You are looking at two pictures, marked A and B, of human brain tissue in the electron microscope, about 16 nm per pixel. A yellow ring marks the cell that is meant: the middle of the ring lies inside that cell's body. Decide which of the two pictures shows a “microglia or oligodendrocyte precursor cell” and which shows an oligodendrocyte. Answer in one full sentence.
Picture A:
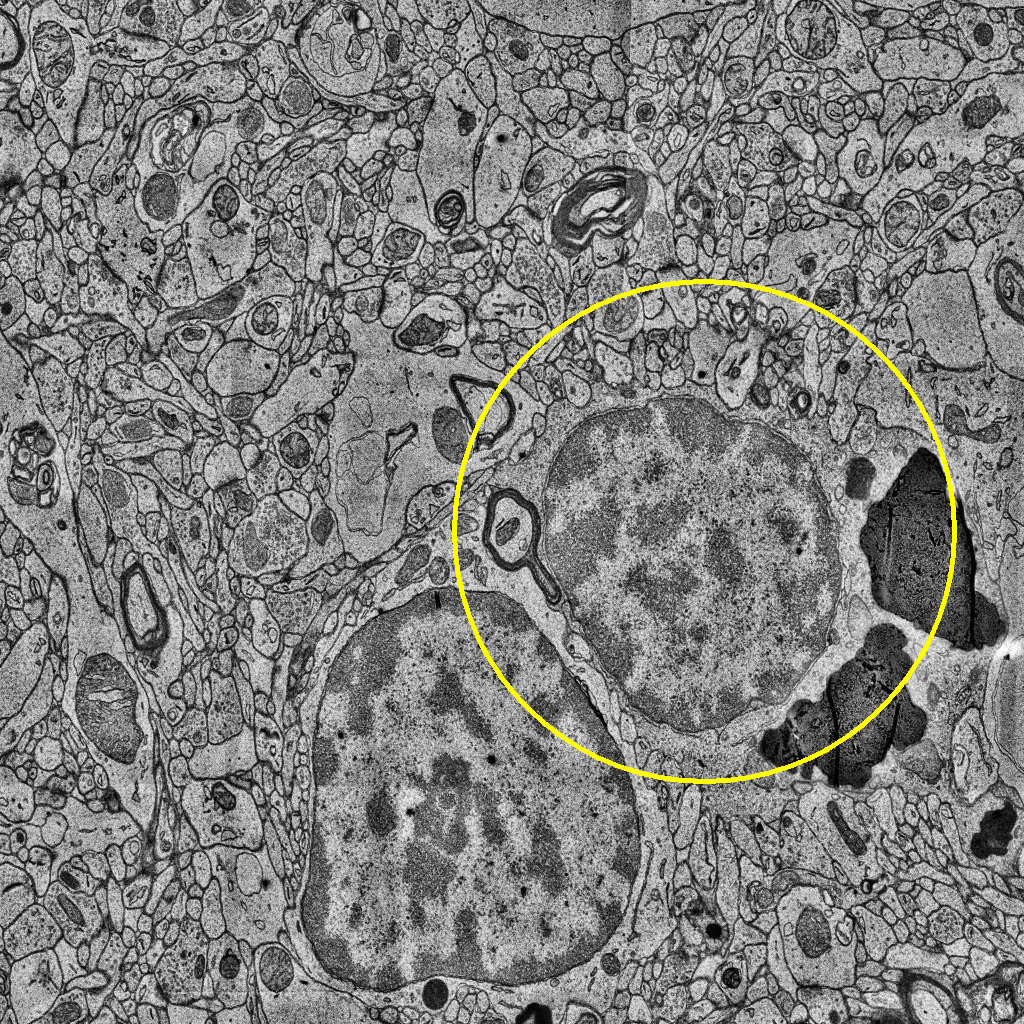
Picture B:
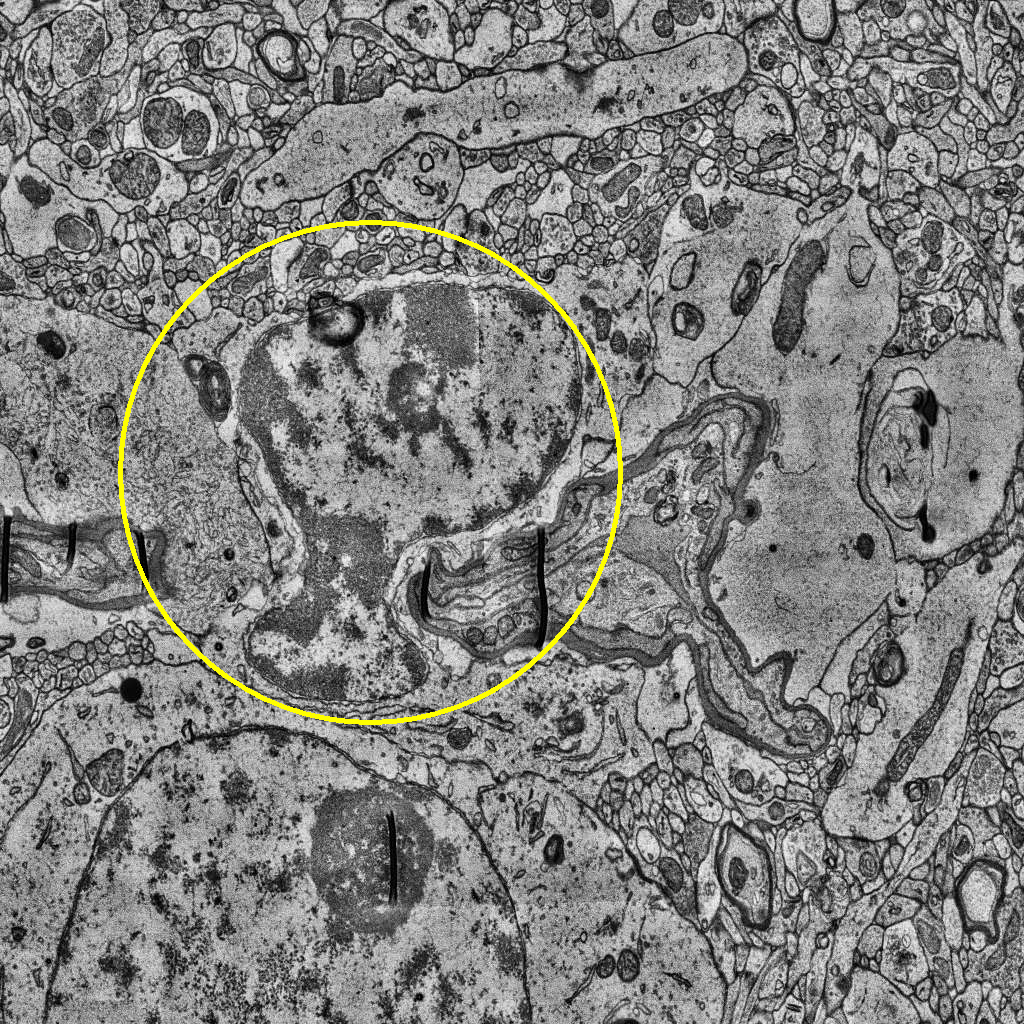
In picture A the cell is an oligodendrocyte; in picture B, a “microglia or oligodendrocyte precursor cell”.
